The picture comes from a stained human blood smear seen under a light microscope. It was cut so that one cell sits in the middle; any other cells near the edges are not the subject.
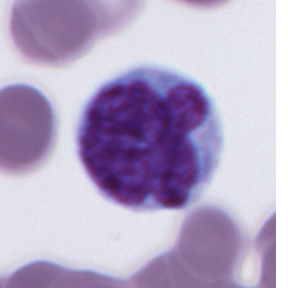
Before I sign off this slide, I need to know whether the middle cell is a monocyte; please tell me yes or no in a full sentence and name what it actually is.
Yes, the cell that occupies the centre is a monocyte.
